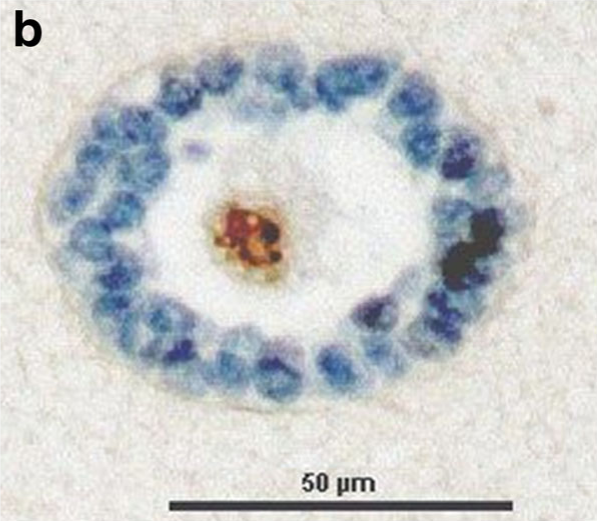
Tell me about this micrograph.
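This is an isolated secondary follicle, a central oocyte surrounded by granulosa cells that form more than one layer. The granulosa cells are closely packed with rounded blue-stained nuclei, giving an oval, thick-walled ring. The central cell contains a small compact body of brown and dark granular material, surrounded by a pale clear zone.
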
